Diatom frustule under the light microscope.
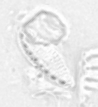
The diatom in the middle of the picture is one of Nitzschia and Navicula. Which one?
Nitzschia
